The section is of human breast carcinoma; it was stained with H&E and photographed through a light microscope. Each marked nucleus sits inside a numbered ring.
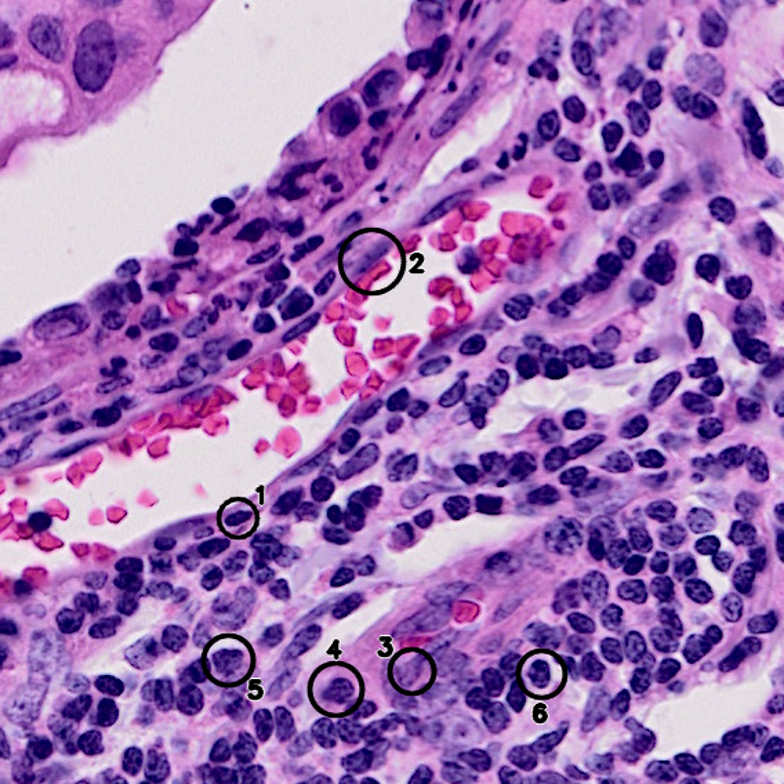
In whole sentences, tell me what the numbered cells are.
Cells 1, 4, 5 and 6 are lymphocytes. Cells 2 and 3 are endothelial cells.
